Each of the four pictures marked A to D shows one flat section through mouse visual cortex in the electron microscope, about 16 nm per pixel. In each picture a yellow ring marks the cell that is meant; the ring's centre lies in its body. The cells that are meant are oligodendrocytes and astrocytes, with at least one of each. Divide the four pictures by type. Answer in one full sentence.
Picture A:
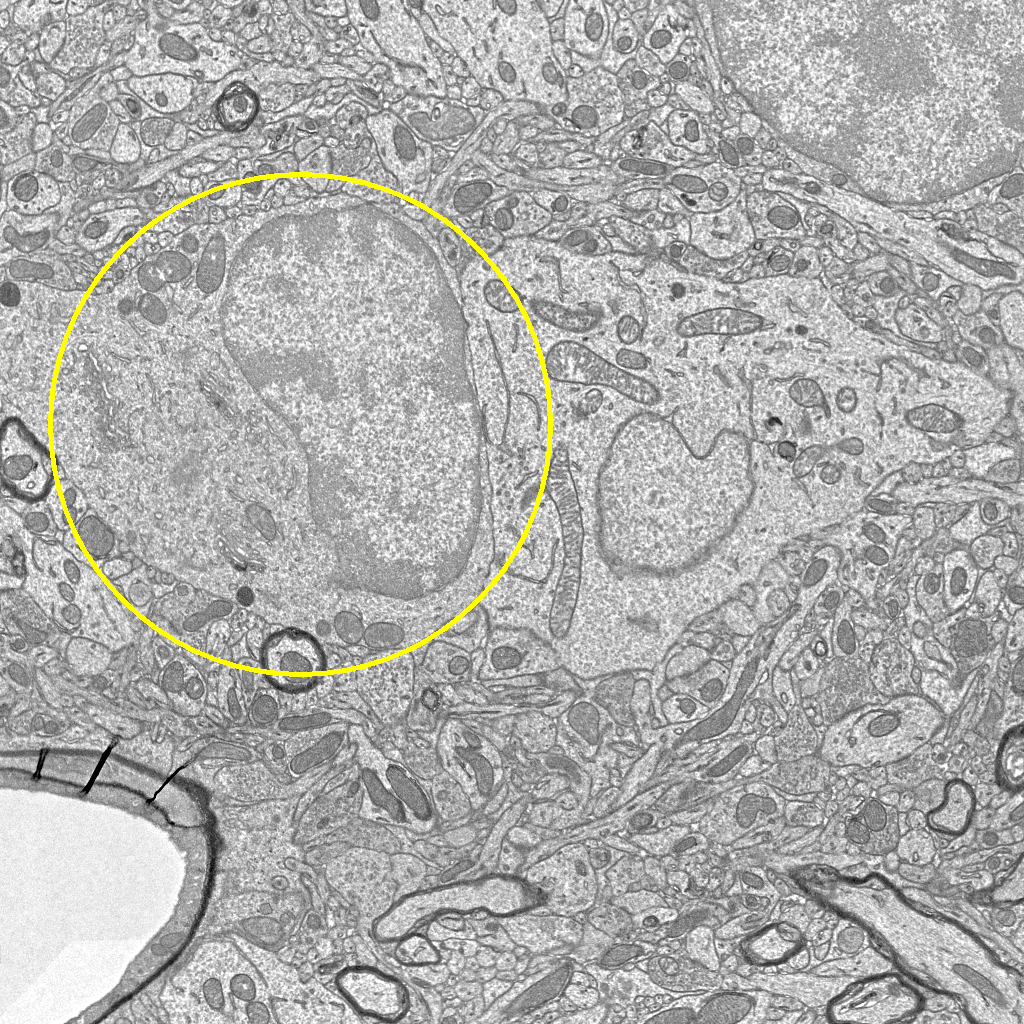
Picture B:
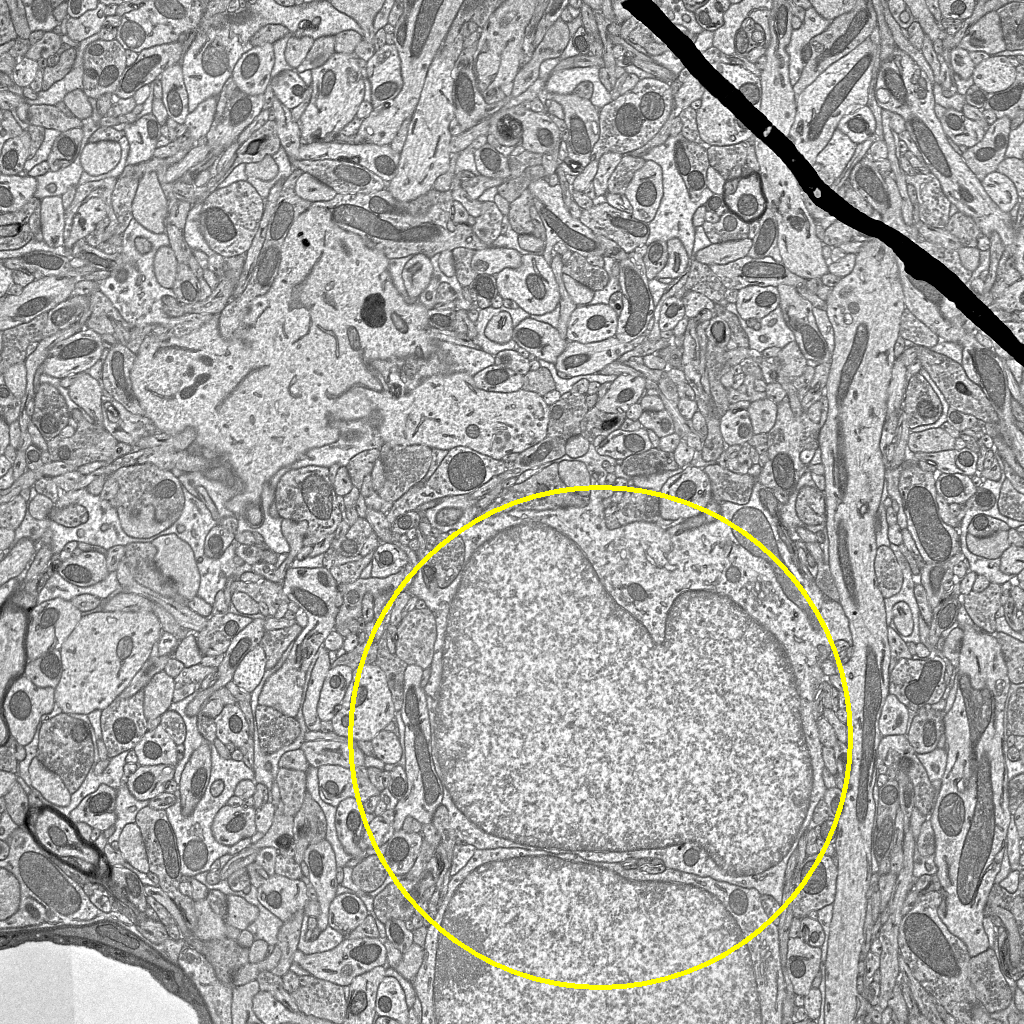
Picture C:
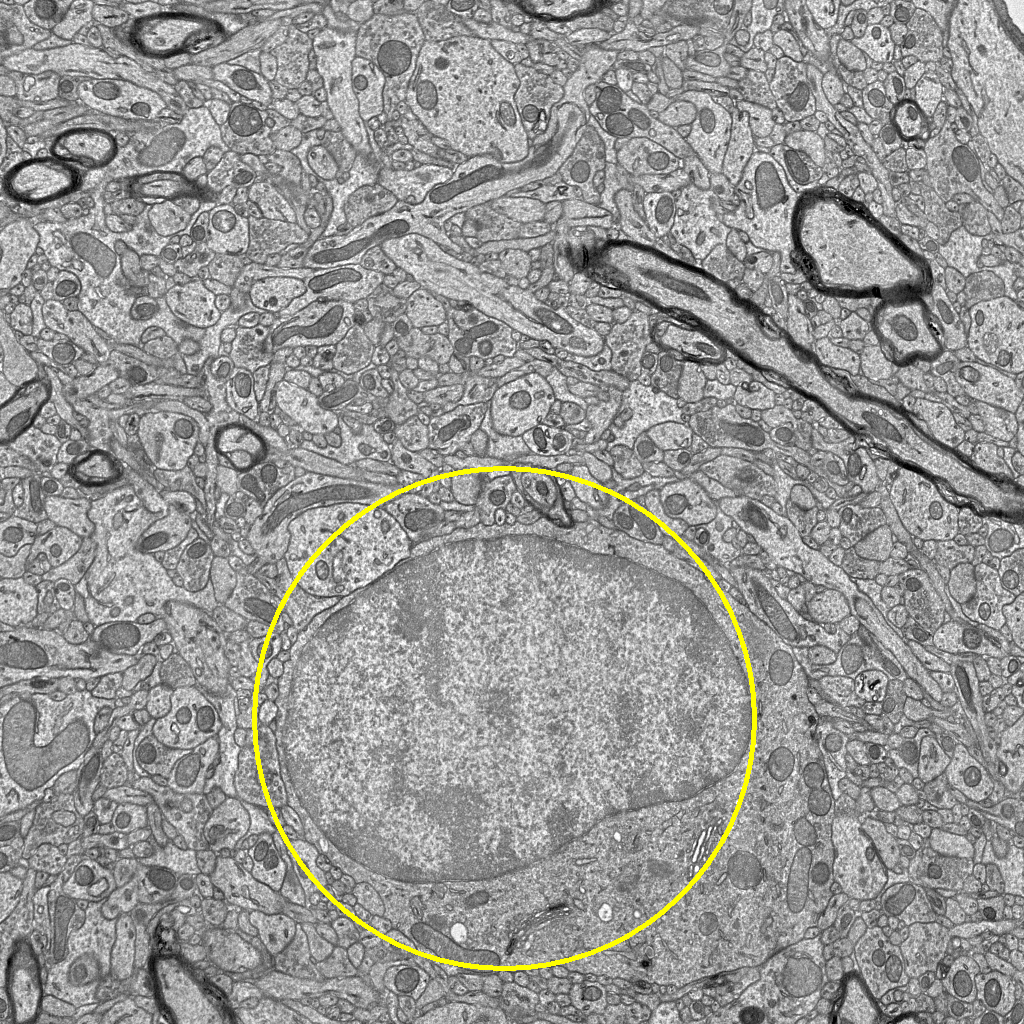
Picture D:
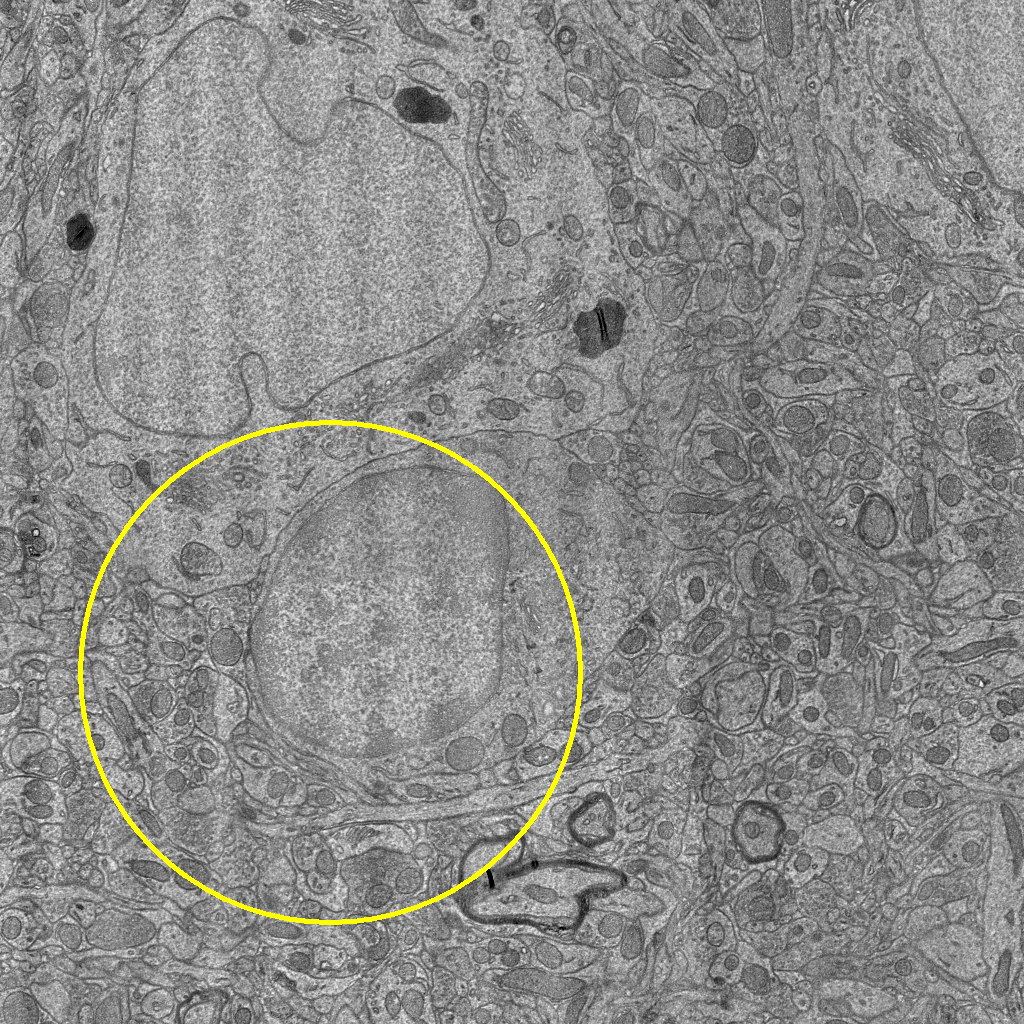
Pictures A, C and D show oligodendrocytes, while picture B shows an astrocyte.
